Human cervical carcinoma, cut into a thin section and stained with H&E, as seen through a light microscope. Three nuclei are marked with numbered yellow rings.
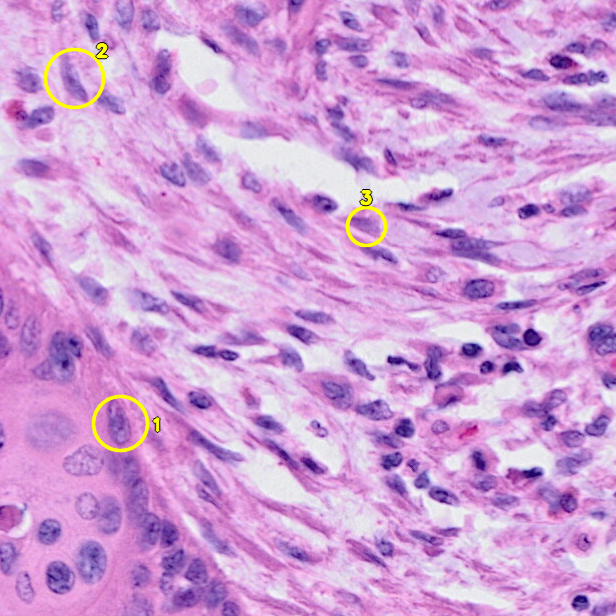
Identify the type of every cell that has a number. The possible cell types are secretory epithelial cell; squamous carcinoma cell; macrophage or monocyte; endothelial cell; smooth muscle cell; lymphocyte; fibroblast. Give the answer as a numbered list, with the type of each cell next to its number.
1. squamous carcinoma cell
2. fibroblast
3. fibroblast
